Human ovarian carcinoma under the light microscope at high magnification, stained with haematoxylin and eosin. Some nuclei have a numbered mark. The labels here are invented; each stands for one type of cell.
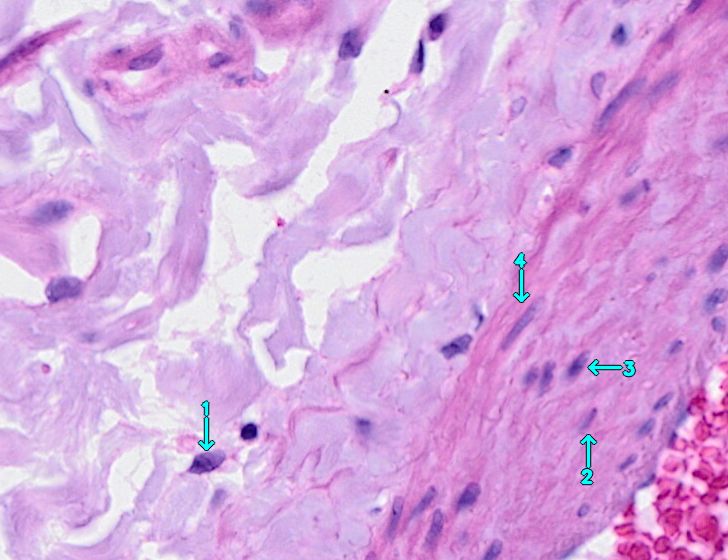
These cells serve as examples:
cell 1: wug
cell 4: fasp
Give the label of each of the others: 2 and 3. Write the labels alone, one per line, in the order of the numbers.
fasp
fasp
